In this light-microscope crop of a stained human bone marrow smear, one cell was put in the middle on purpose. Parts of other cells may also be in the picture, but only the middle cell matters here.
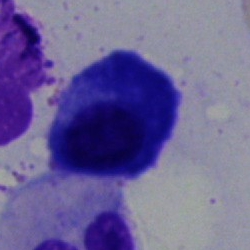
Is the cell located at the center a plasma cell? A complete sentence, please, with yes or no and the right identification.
Yes, the cell in the middle has the identity of a plasma cell.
